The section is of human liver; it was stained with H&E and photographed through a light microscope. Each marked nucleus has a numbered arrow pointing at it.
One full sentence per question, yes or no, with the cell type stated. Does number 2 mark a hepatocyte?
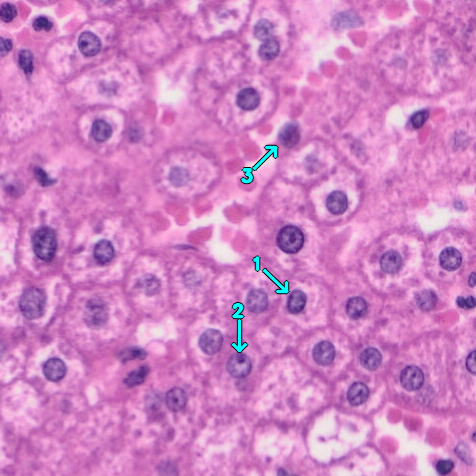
Yes, cell 2 is a hepatocyte in this tissue section.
